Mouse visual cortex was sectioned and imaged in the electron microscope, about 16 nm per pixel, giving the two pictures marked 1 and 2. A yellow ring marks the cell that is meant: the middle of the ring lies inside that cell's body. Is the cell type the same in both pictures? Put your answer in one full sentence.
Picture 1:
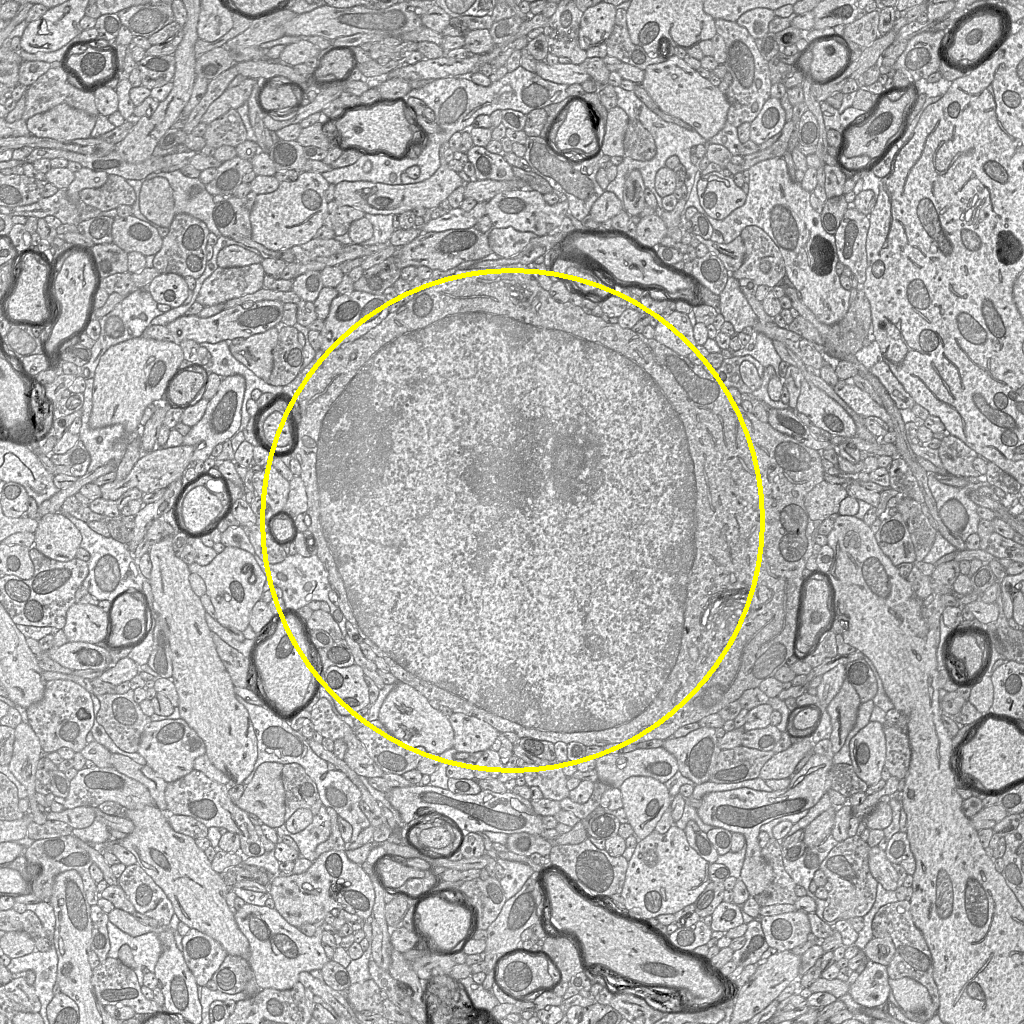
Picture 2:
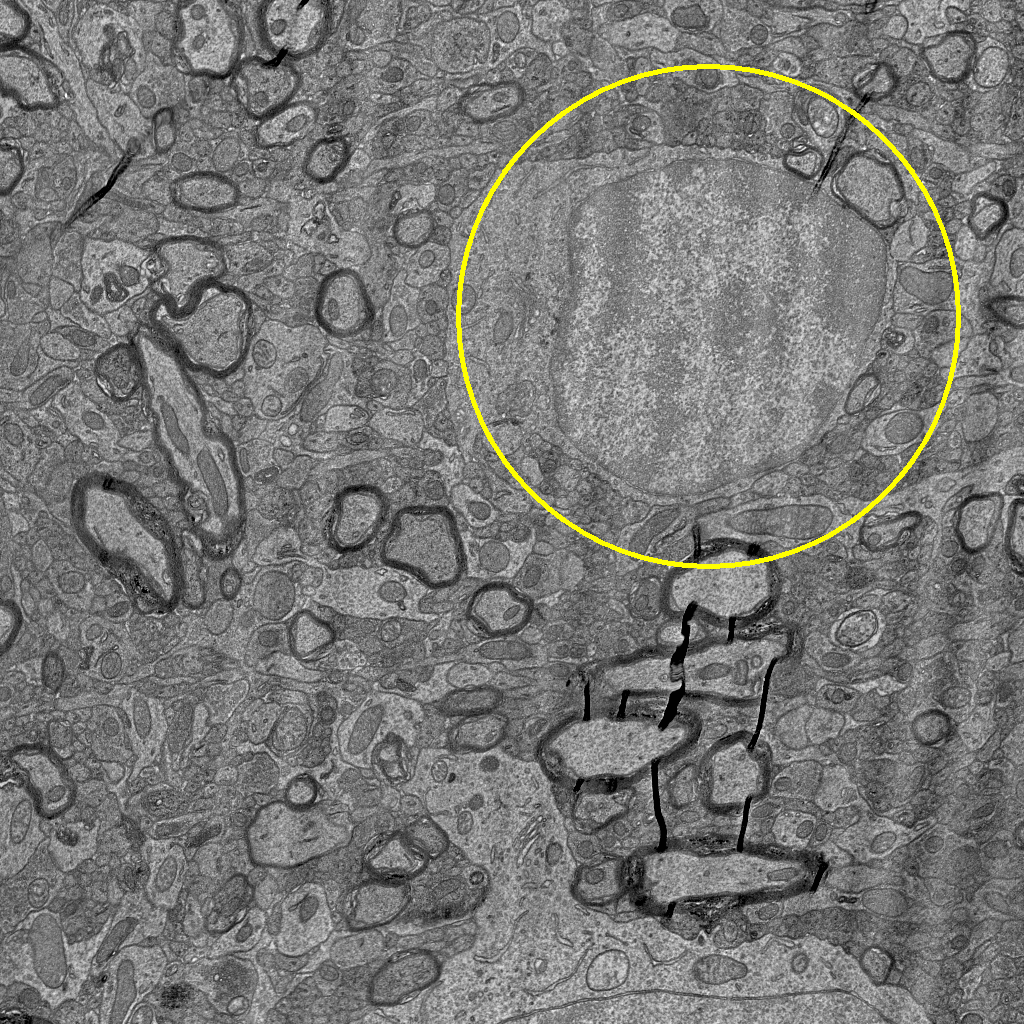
Yes; the cells in both pictures are oligodendrocytes.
